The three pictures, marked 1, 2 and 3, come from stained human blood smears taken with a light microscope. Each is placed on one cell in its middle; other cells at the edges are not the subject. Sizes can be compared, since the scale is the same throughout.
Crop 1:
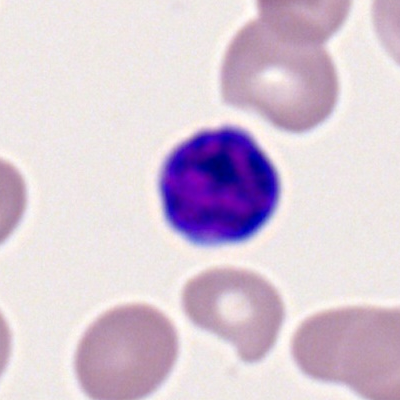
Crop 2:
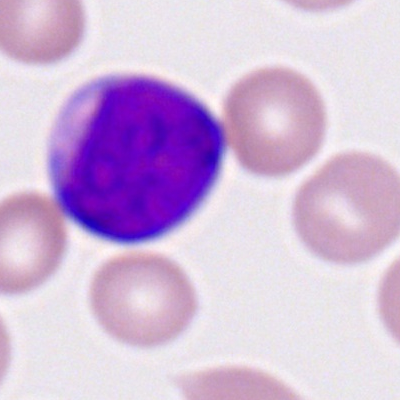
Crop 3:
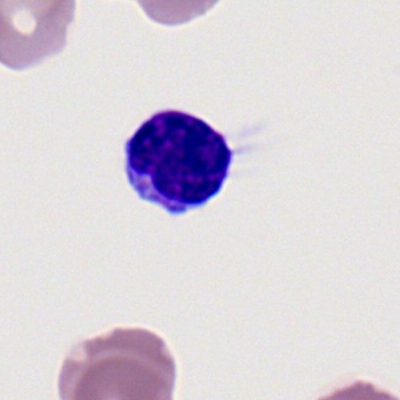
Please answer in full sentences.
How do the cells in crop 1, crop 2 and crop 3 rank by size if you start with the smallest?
Smallest first: 3, 1, 2.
